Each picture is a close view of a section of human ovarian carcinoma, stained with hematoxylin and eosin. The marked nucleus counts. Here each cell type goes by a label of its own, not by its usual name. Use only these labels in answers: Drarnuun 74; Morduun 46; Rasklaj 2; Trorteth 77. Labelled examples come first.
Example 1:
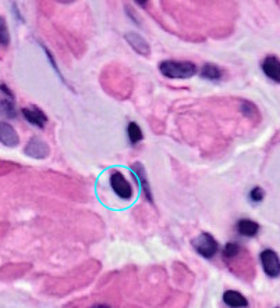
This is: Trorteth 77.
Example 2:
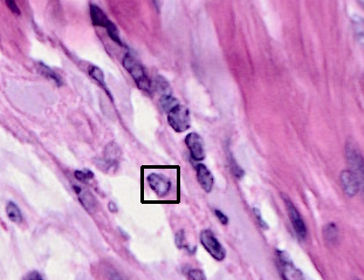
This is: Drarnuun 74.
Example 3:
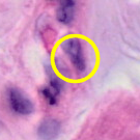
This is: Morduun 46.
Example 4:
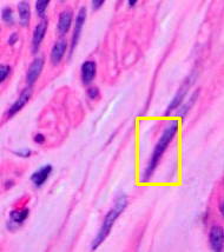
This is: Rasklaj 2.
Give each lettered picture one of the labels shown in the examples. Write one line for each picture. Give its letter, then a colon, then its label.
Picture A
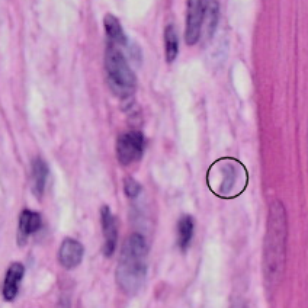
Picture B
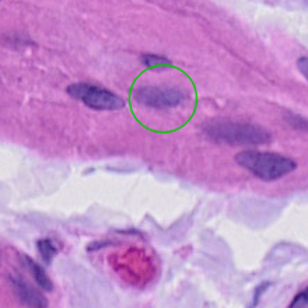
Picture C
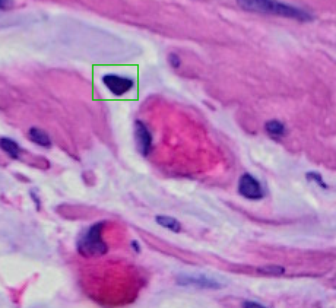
A: Drarnuun 74.
B: Rasklaj 2.
C: Trorteth 77.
